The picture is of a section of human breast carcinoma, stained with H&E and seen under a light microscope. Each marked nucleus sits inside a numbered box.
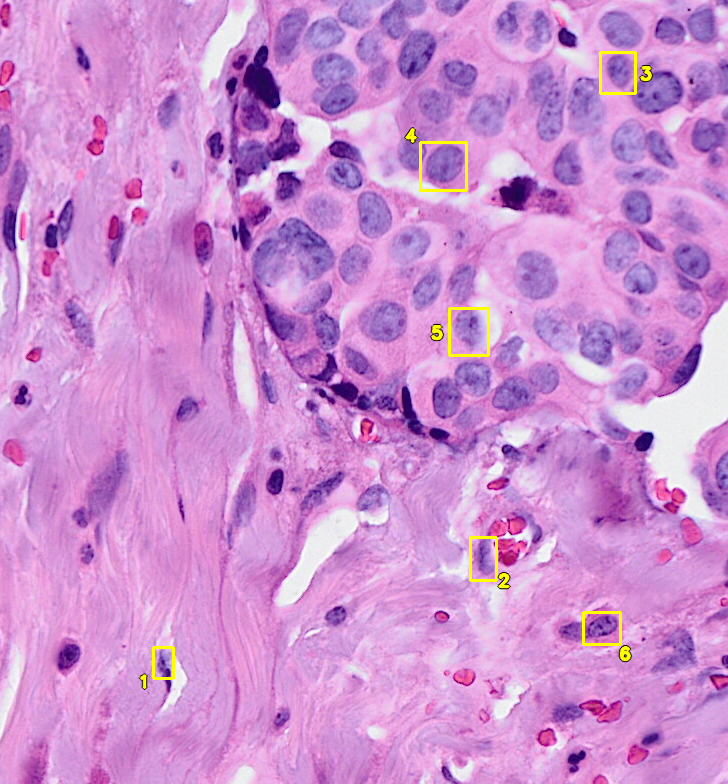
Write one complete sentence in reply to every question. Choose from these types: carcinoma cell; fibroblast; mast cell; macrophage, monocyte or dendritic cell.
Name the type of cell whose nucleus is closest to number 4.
Closest to number 4 lies the nucleus of a carcinoma cell.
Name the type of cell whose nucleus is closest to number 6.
Closest to number 6 lies the nucleus of a macrophage, monocyte or dendritic cell.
